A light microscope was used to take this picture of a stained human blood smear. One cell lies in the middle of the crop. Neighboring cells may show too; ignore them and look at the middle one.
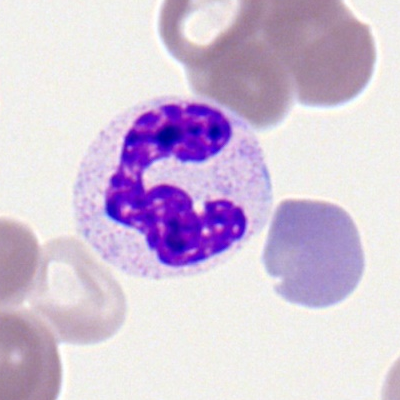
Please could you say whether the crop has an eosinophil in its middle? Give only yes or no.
no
